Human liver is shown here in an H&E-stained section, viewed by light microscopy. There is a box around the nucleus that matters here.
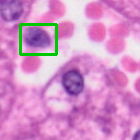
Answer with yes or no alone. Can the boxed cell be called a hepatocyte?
no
